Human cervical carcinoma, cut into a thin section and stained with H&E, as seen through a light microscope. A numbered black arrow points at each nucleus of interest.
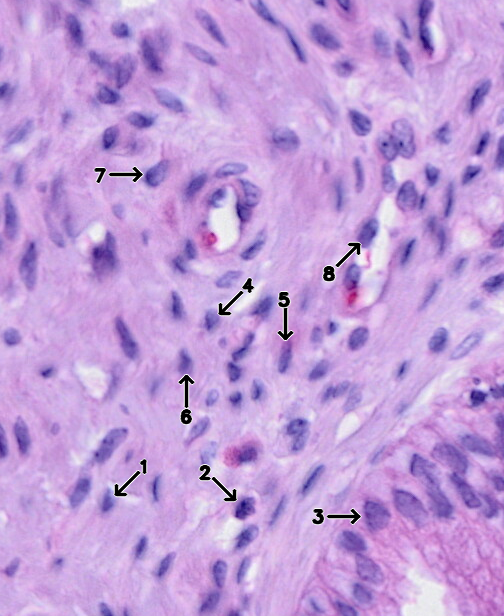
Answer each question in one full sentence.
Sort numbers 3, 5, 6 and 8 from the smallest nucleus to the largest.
The order from the smallest nucleus to the largest is 6, 5, 8, 3.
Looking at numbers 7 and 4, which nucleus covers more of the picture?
The larger nucleus is 7, at roughly 2 times the area of 4.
